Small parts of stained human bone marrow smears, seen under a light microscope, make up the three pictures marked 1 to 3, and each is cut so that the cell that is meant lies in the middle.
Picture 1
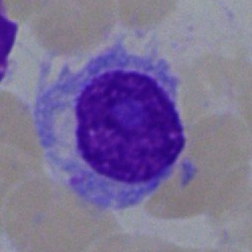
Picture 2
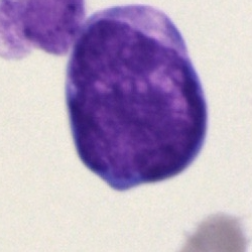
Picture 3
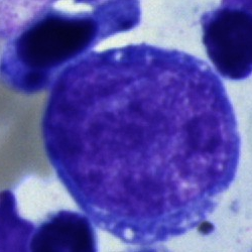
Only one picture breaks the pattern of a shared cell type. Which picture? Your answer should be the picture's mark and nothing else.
1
